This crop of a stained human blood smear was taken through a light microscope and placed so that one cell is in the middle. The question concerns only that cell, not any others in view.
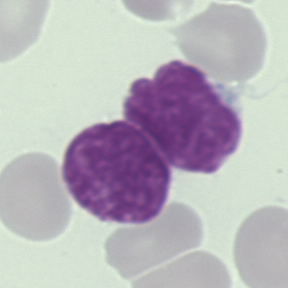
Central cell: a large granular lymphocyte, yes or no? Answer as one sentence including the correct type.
No, rather than being a large granular lymphocyte, the central cell is a blast.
